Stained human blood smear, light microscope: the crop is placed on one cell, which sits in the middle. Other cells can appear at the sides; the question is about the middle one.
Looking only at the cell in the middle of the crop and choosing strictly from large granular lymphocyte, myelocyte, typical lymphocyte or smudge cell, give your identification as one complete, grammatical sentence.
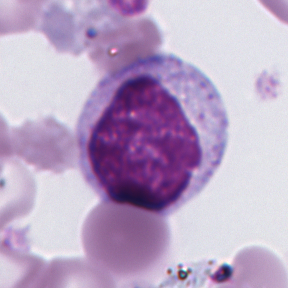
The cell that lies at the centre of the crop is a myelocyte.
